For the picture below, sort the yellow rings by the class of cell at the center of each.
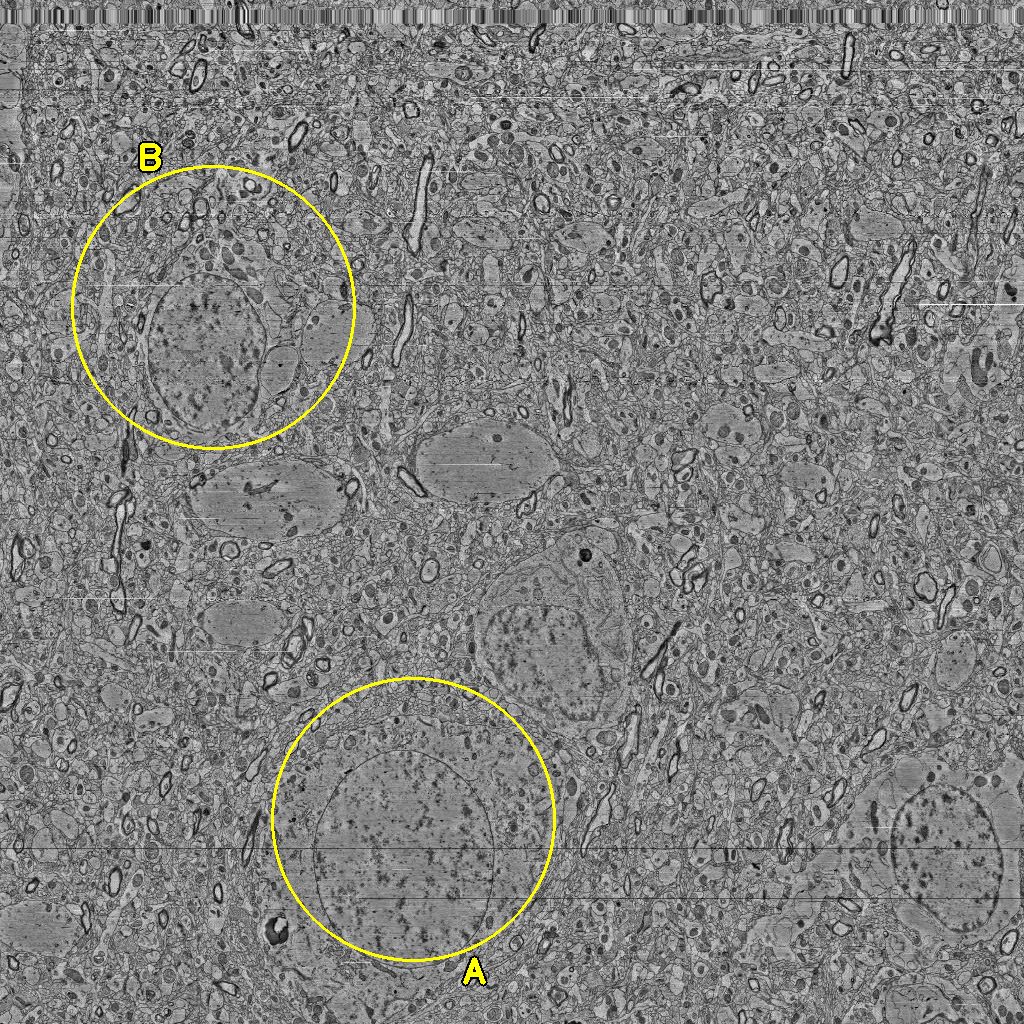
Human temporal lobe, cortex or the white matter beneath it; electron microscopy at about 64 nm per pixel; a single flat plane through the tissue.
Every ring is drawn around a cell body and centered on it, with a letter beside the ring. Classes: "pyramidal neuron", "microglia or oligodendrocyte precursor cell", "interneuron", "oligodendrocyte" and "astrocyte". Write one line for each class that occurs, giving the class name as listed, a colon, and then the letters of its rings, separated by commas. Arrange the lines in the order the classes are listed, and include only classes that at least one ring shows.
pyramidal neuron: A
astrocyte: B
